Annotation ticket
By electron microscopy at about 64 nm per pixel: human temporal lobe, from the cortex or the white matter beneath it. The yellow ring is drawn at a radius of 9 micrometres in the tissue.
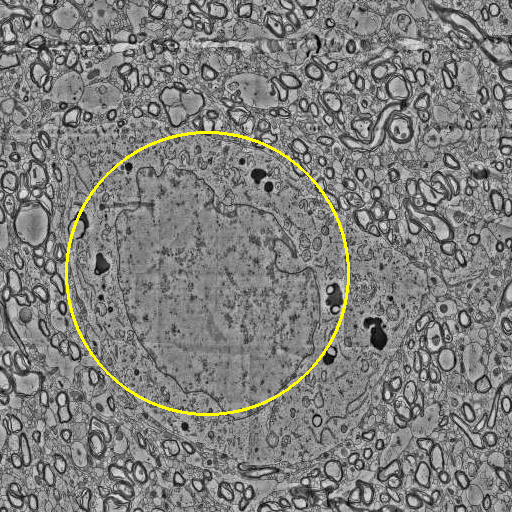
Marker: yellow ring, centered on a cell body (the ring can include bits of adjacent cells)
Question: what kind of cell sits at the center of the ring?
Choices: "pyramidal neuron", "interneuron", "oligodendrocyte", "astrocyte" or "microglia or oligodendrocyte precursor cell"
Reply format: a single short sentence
The ring is centered on a pyramidal neuron.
